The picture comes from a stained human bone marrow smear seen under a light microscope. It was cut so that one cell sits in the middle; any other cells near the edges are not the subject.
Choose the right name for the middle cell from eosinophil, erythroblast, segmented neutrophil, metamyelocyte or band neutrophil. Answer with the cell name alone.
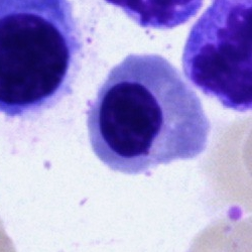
erythroblast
